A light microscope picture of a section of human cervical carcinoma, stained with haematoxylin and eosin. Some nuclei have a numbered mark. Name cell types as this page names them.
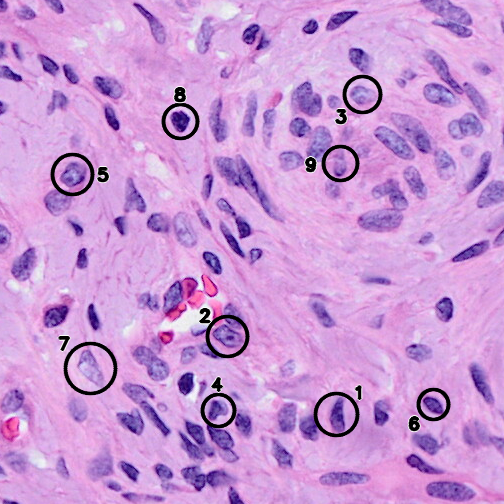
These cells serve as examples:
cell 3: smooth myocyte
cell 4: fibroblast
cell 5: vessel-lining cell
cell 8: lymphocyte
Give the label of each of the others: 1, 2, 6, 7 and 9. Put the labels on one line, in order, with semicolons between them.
fibroblast; vessel-lining cell; fibroblast; fibroblast; smooth myocyte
